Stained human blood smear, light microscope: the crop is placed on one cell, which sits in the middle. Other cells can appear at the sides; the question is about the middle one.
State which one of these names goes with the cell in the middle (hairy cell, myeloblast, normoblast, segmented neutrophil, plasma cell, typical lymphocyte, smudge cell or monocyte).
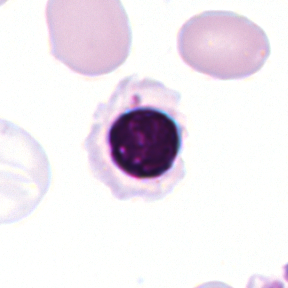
normoblast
